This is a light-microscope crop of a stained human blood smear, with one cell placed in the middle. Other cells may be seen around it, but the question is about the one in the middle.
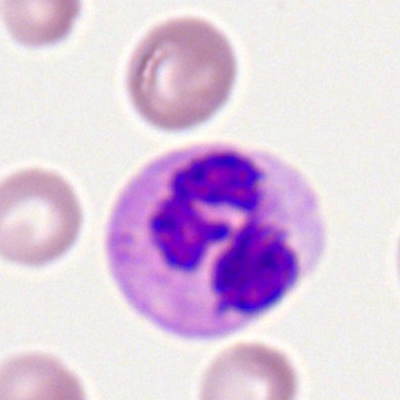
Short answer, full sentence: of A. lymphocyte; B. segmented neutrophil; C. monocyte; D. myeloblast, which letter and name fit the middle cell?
Option B gets it right: the cell in the middle is a segmented neutrophil.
